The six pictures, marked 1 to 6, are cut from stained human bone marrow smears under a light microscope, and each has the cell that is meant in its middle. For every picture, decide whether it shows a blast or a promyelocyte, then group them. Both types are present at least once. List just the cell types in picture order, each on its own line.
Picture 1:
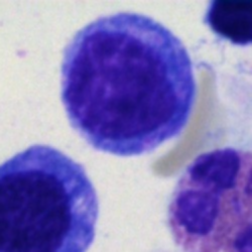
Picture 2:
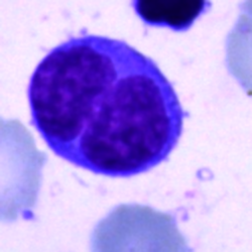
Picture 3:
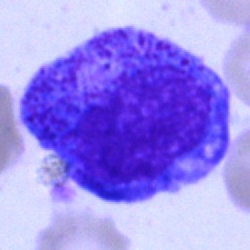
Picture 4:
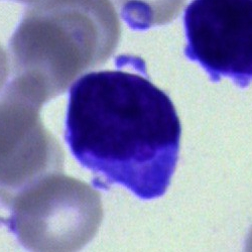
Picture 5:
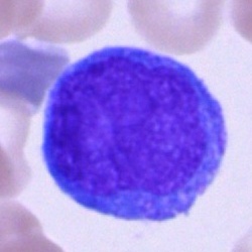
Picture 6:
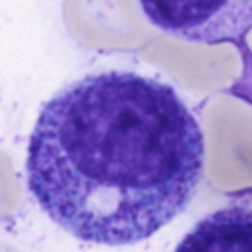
blast
blast
promyelocyte
blast
blast
promyelocyte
